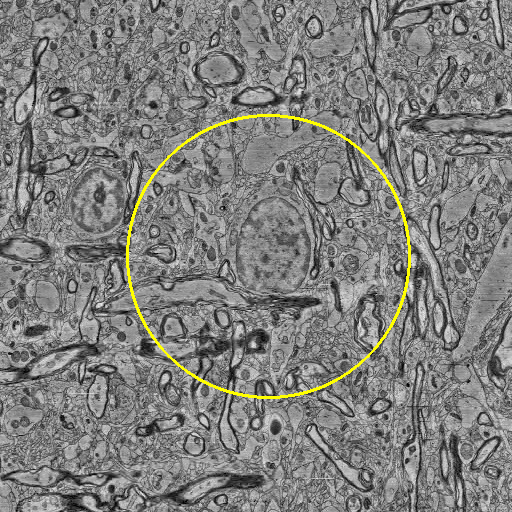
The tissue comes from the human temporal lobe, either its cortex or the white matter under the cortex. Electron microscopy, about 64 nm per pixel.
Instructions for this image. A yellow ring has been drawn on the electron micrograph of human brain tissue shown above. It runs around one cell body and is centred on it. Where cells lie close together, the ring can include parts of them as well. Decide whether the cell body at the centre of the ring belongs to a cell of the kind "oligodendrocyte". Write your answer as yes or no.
yes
